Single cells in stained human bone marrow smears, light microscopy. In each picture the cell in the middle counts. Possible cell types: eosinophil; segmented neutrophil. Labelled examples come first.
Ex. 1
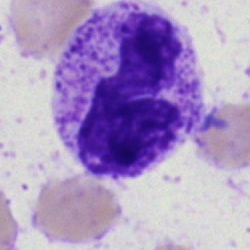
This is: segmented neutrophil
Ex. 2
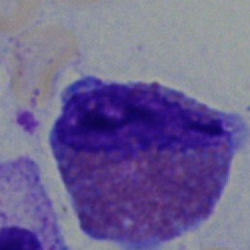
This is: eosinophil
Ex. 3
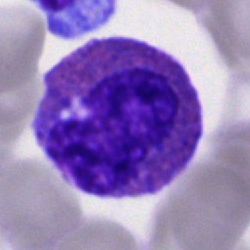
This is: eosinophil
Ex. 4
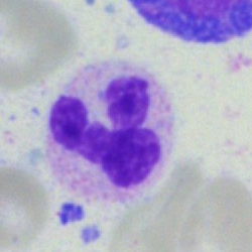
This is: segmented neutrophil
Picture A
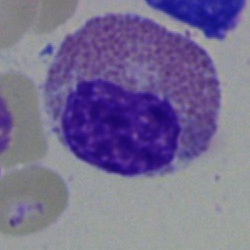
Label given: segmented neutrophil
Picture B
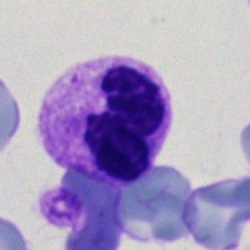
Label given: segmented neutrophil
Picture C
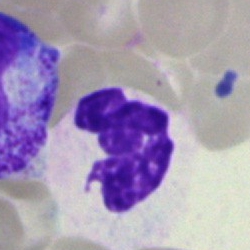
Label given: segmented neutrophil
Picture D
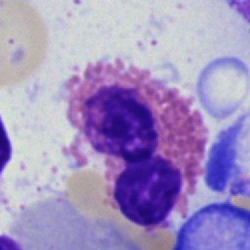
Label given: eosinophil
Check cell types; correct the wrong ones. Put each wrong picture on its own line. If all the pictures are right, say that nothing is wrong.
A: eosinophil, not segmented neutrophil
